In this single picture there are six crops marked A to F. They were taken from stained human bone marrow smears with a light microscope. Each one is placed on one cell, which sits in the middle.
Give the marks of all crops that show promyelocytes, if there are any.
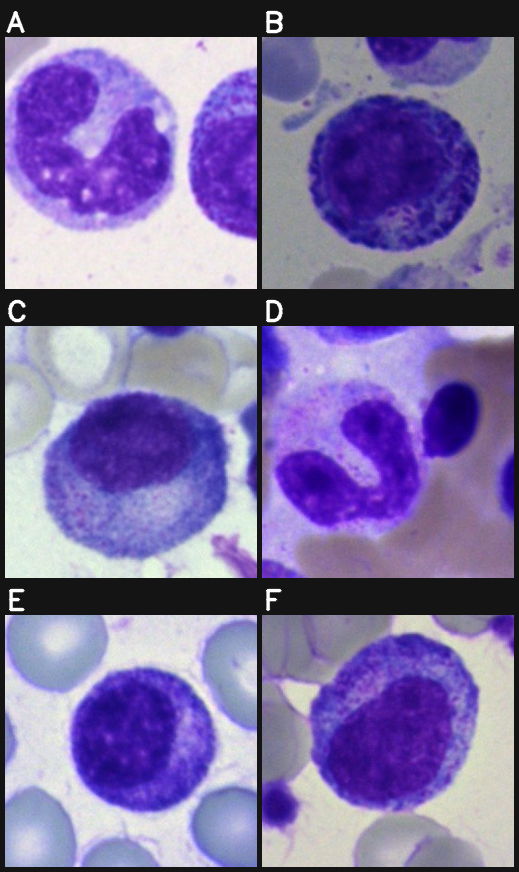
B, C, E, F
